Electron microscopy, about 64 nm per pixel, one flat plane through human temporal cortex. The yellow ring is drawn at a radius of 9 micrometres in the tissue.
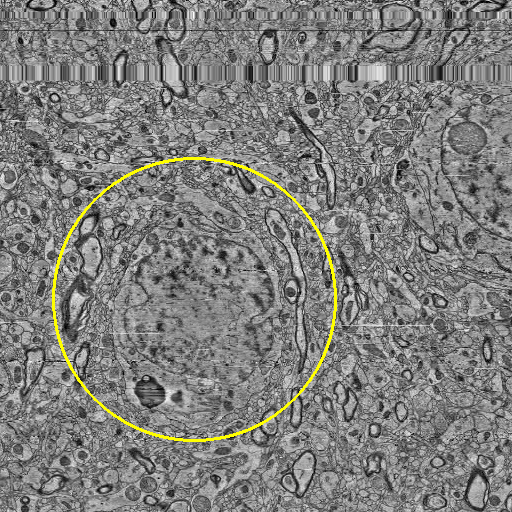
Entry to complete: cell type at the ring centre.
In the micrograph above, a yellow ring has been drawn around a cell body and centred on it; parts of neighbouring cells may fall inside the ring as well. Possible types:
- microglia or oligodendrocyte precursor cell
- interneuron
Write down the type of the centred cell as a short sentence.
The ring is centred on an interneuron.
